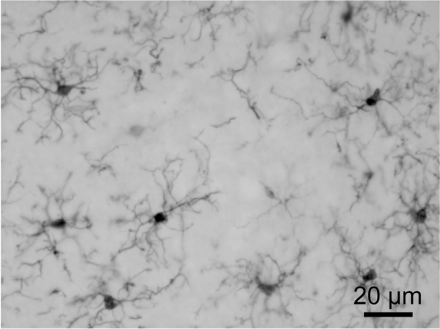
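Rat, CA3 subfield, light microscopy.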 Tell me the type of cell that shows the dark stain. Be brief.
Microglial cells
